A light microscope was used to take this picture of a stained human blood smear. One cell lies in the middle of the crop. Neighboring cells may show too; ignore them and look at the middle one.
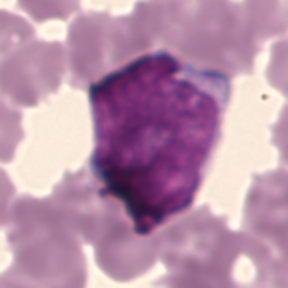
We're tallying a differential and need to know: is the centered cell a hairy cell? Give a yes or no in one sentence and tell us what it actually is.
No, the cell in the centre is a myeloblast instead of a hairy cell.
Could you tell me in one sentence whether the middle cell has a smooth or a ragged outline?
Ragged or projecting, the border of this cell departs from a smooth contour.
